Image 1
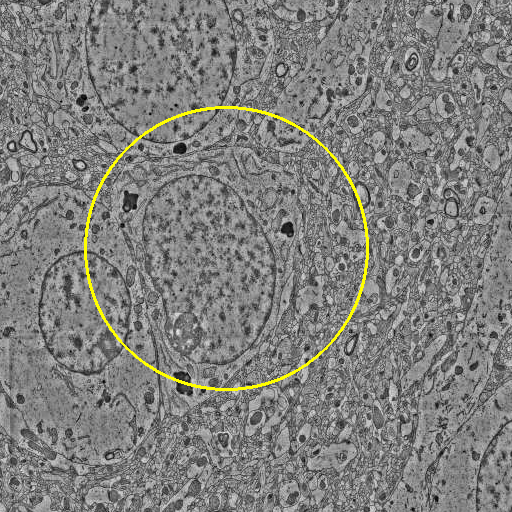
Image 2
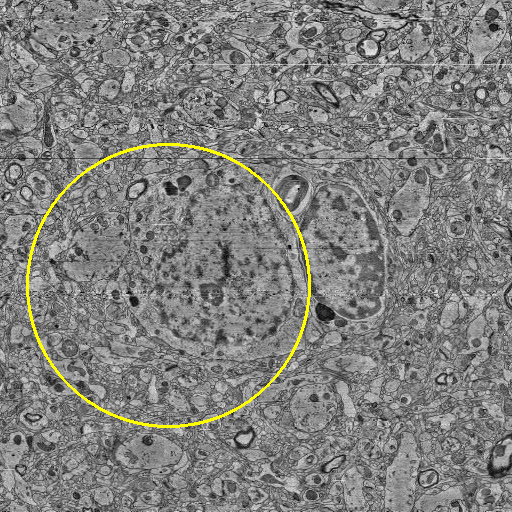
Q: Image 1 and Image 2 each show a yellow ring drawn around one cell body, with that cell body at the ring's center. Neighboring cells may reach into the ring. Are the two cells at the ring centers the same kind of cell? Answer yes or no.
yes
